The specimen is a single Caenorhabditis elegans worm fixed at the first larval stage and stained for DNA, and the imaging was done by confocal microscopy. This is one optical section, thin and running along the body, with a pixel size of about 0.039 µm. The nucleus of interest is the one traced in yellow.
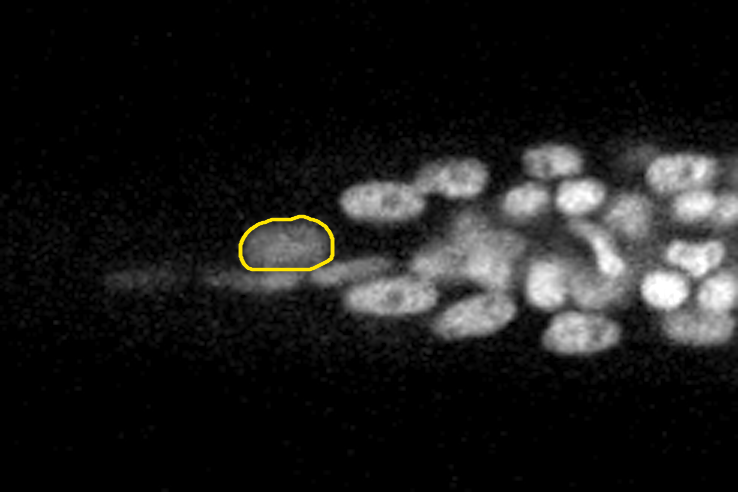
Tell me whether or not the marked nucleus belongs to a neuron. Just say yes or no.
no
